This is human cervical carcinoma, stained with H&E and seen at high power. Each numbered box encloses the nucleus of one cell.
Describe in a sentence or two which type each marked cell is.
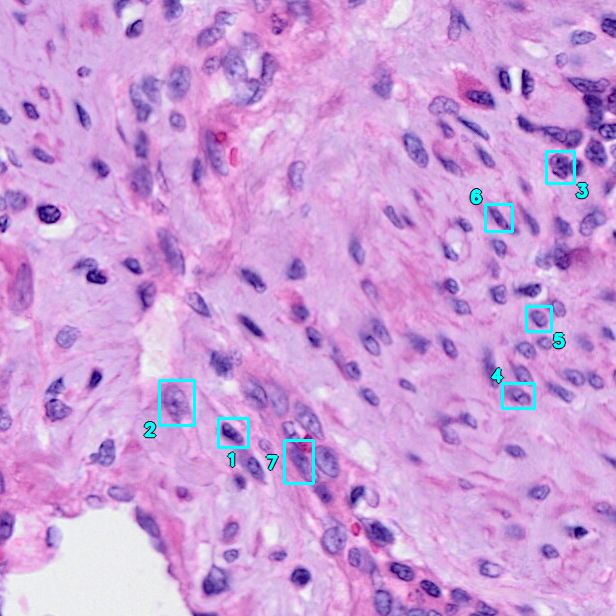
Cell 1 is a lymphocyte, cell 2 is an endothelial cell, cell 3 is a lymphocyte, cell 4 is a smooth muscle cell, cell 5 is a smooth muscle cell, cell 6 is a smooth muscle cell and cell 7 is an endothelial cell.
